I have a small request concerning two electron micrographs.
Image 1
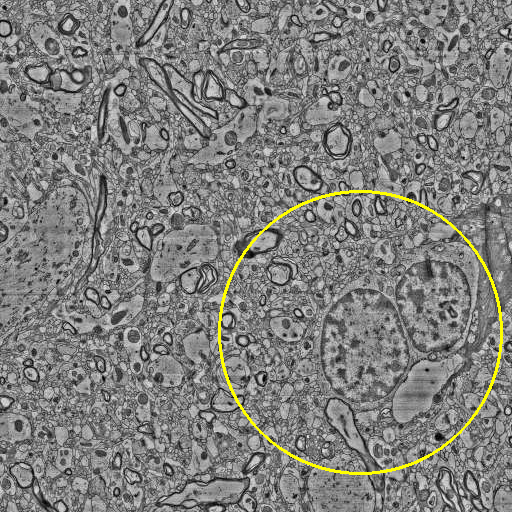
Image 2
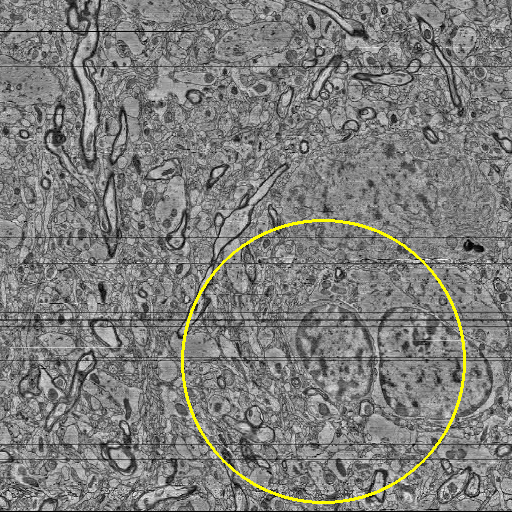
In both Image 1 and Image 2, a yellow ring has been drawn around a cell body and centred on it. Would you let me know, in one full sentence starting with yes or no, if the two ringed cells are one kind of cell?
Yes, the cells ringed in Image 1 and Image 2 are one kind of cell.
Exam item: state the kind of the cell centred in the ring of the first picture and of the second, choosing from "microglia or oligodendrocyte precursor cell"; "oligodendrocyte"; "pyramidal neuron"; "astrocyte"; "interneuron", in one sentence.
The cell in the first picture is an oligodendrocyte, and so is the one in the second.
